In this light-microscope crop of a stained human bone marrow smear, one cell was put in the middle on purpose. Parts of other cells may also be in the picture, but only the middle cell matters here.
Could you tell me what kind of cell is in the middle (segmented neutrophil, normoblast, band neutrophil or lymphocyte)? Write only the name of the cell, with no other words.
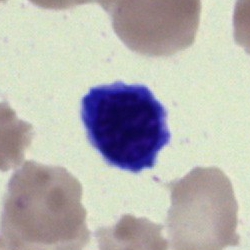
lymphocyte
